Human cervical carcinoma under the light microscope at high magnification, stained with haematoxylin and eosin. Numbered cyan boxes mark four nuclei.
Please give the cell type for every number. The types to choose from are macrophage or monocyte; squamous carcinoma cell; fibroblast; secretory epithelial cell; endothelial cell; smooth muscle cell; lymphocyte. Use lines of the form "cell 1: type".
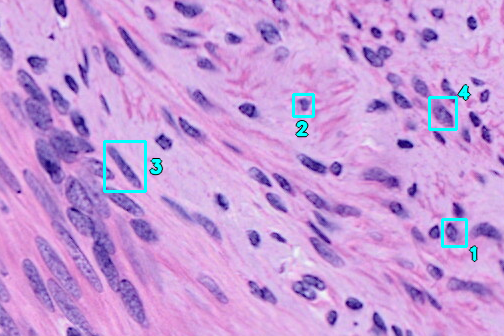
cell 1: smooth muscle cell
cell 2: smooth muscle cell
cell 3: fibroblast
cell 4: smooth muscle cell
